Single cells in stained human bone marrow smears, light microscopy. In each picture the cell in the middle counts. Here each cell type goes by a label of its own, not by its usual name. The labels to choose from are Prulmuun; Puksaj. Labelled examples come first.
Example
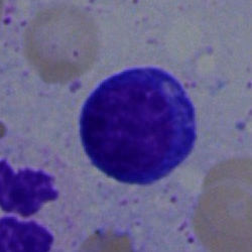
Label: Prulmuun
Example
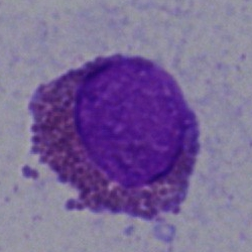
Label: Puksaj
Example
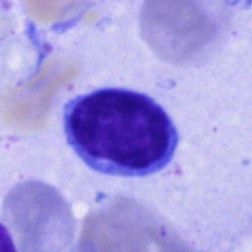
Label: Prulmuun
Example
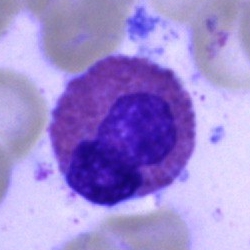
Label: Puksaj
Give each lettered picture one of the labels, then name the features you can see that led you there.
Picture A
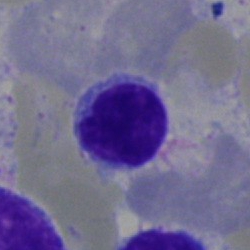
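Prulmuun. The cytoplasm forms only a thin rim that is widest on the left side.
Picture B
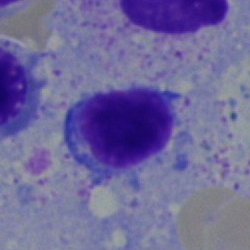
Prulmuun. The cytoplasm is scant and stains deep blue.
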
